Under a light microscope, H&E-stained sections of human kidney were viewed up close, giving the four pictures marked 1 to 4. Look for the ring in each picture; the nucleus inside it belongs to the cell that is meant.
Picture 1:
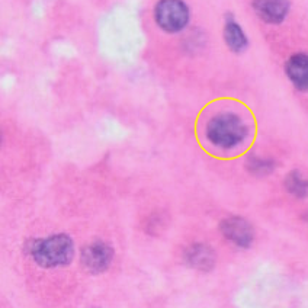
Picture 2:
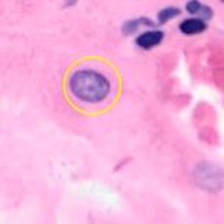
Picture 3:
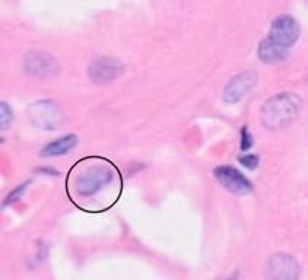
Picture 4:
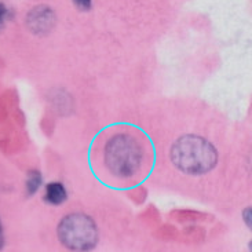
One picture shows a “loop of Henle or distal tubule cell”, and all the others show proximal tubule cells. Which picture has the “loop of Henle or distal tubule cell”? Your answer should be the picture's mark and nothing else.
3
